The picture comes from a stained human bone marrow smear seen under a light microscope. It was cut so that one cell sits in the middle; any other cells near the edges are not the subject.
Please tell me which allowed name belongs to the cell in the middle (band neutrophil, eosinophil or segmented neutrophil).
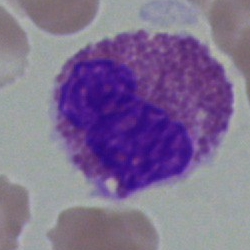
eosinophil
